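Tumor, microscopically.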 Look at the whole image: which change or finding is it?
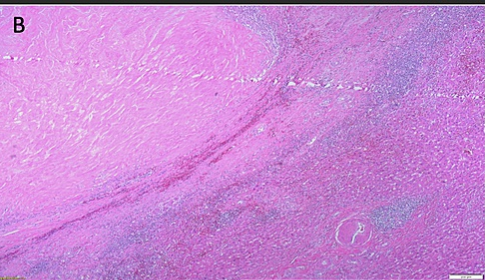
Necrotic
